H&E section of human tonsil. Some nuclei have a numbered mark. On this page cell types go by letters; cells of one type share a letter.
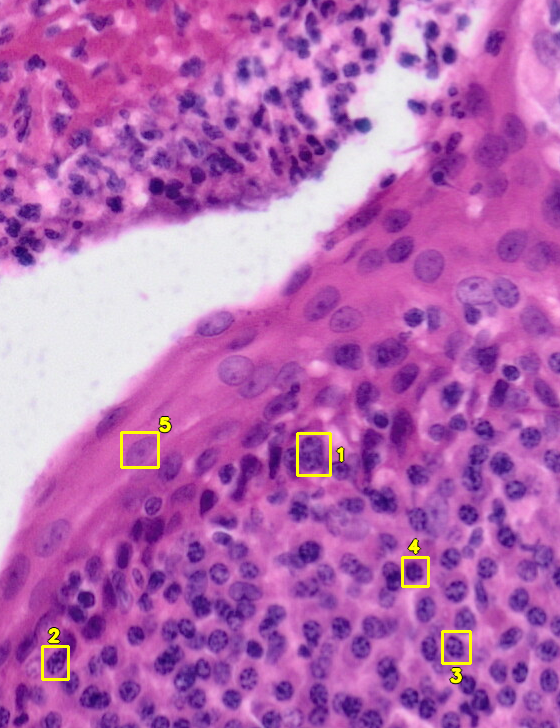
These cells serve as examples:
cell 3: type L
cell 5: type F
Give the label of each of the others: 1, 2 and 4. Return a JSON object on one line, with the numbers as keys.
{"1": "type F", "2": "type L", "4": "type L"}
